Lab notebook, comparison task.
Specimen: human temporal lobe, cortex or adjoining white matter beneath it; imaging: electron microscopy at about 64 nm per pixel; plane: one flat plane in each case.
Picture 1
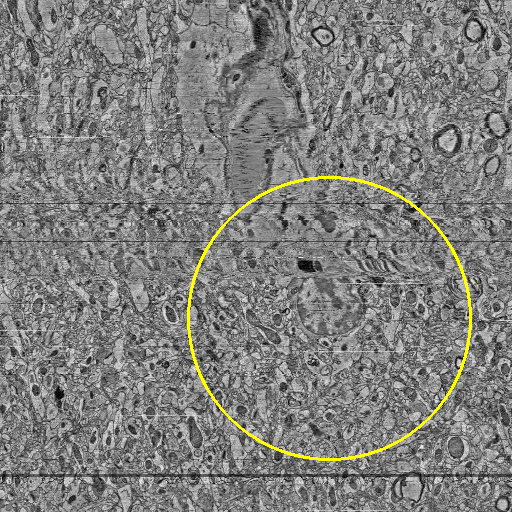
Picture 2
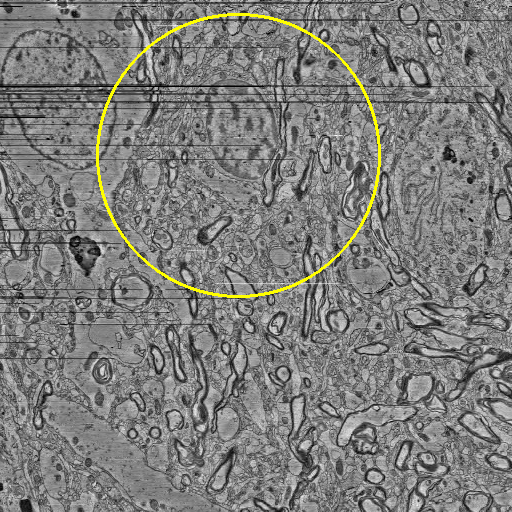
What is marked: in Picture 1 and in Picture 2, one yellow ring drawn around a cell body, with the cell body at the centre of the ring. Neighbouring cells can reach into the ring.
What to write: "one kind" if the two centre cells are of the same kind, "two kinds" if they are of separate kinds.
one kind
